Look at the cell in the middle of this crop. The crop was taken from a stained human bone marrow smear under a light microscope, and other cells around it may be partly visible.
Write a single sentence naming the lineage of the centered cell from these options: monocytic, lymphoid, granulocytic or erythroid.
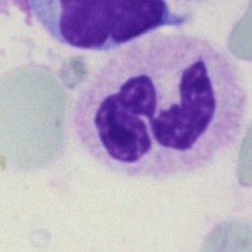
The lineage to which the central cell belongs is granulocytic.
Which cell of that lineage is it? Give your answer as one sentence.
The cell in the exact centre of the crop is a segmented neutrophil.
